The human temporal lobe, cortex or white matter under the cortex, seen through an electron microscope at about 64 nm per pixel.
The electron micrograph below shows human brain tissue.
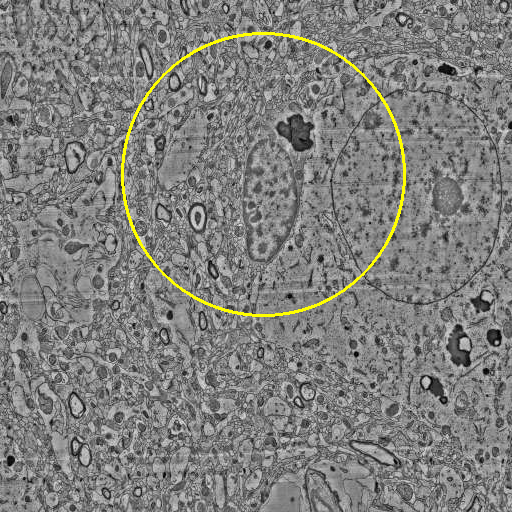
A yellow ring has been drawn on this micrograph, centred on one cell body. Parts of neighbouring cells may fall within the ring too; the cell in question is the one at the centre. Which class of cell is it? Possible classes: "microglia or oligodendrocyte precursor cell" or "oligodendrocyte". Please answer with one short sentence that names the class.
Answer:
In the centre of the ring sits an oligodendrocyte.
